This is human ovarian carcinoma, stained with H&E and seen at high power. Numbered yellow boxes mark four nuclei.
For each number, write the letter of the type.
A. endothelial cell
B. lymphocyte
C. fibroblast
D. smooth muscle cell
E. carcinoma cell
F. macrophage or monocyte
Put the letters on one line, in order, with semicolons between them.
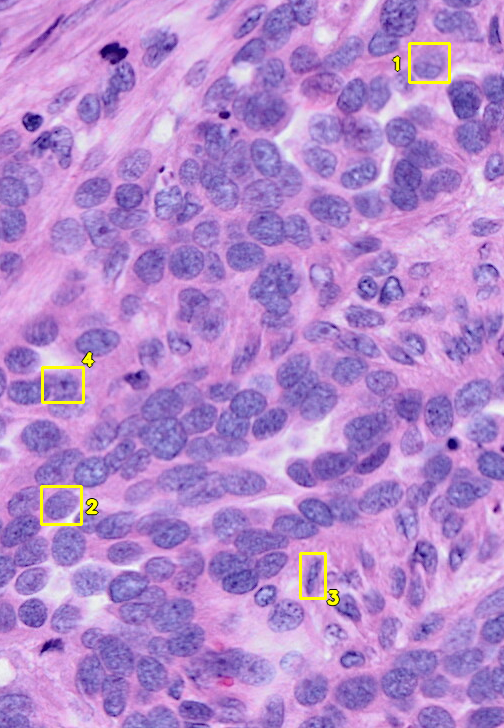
E; E; C; E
